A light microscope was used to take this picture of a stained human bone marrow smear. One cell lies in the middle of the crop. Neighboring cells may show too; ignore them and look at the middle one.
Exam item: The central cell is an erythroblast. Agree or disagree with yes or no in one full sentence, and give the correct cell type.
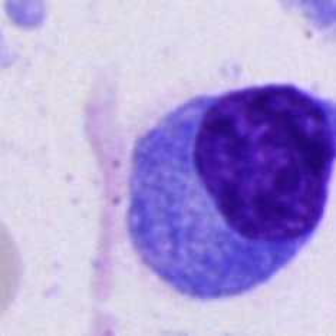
No, mark the middle cell as a plasma cell, not an erythroblast.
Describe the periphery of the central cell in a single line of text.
The membrane contour is even and smooth, with nothing projecting from it.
